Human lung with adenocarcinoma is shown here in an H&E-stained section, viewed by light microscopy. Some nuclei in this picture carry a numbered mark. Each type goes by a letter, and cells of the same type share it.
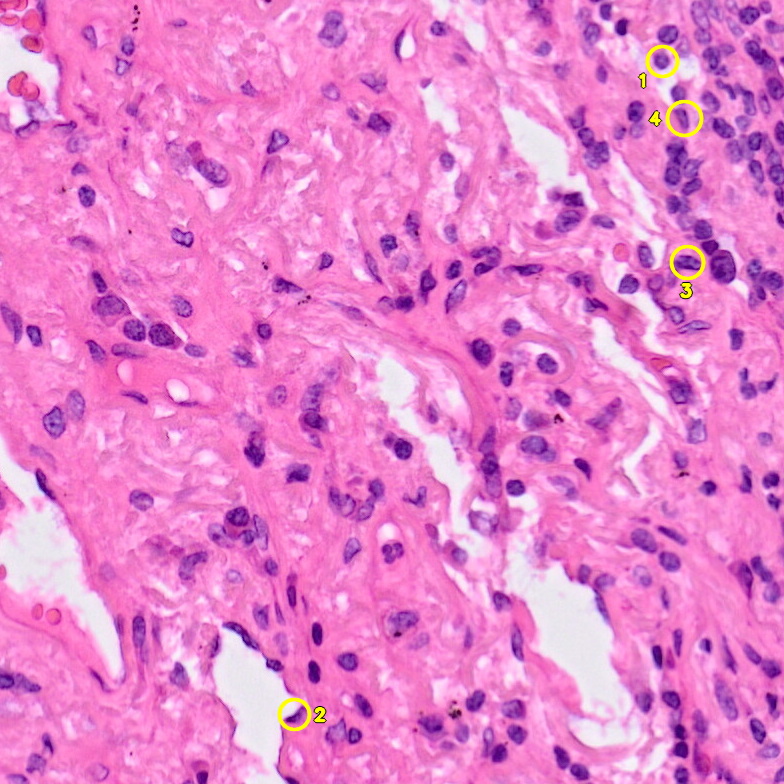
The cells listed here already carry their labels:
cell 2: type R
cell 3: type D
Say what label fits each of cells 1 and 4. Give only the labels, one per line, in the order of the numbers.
type D
type D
